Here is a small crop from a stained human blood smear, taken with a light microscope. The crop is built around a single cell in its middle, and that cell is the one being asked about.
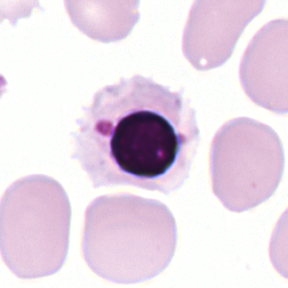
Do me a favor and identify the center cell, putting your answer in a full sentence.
In the middle of this smear crop, the cell is a normoblast.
